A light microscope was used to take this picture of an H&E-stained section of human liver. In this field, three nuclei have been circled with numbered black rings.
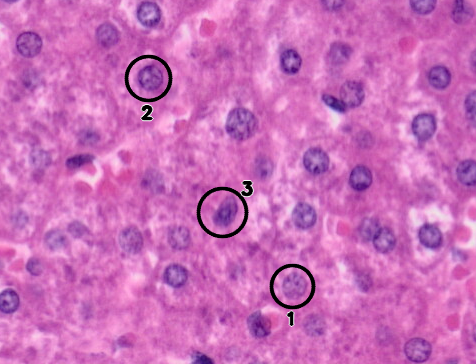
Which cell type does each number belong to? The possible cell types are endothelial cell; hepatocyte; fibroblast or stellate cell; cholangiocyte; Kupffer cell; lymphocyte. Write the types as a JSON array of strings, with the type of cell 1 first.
["hepatocyte", "hepatocyte", "endothelial cell"]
